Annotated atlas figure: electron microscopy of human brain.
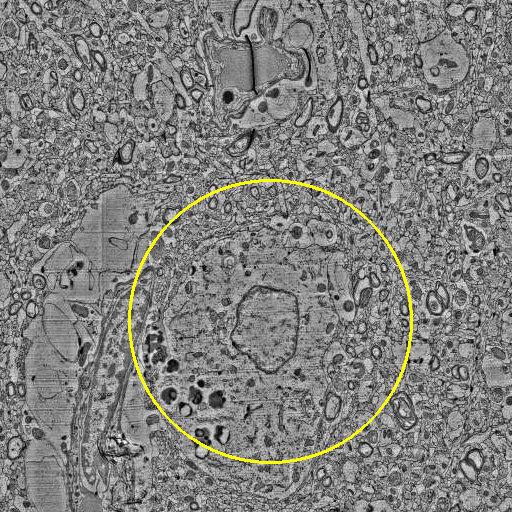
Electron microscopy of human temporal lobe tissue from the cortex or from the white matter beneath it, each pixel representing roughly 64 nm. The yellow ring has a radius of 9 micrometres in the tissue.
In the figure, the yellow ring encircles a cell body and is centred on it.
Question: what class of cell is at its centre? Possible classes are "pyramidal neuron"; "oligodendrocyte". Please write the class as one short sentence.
The yellow ring is drawn around a pyramidal neuron.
